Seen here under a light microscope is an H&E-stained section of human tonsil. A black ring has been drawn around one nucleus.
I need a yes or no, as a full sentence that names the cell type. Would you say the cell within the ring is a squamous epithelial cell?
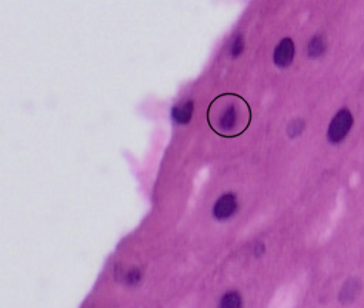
Yes, the naming of the cell within the ring as a squamous epithelial cell is correct.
